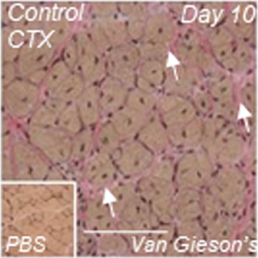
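Skeletal muscle fibres in cross section stain tan to brown, with dark nuclei, several lying in the middle of the fibres. Pink-red strands outline the fibres and widen in places between them.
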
